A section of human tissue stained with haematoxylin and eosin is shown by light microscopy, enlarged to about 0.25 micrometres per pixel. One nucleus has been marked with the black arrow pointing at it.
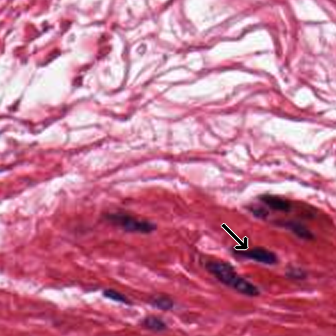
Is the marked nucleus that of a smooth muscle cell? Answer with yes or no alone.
yes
